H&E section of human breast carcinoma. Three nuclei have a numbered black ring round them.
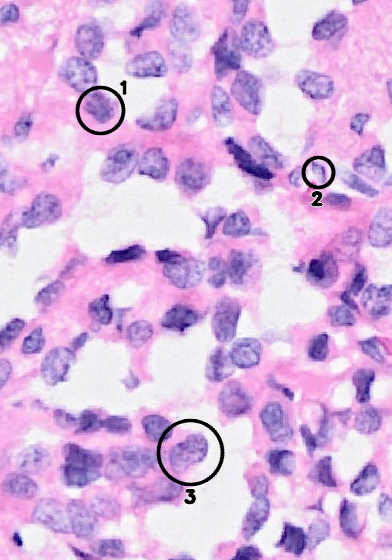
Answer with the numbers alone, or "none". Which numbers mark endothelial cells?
2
